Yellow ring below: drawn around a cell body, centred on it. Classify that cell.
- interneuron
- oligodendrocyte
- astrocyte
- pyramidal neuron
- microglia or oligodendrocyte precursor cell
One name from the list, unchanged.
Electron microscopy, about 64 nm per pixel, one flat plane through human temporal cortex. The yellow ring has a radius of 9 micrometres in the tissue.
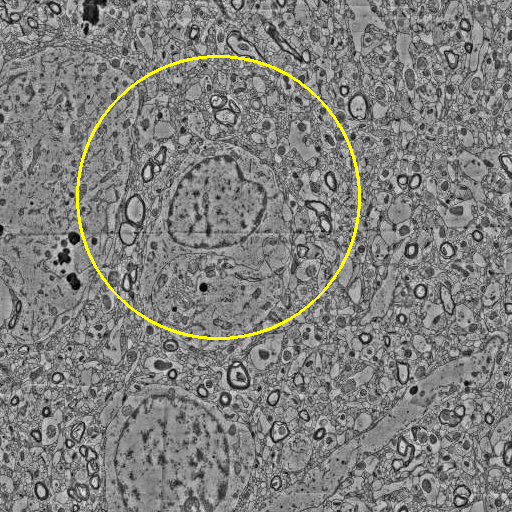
microglia or oligodendrocyte precursor cell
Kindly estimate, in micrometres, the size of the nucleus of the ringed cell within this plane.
The nucleus measures about 7 by 6 micrometres in this plane.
